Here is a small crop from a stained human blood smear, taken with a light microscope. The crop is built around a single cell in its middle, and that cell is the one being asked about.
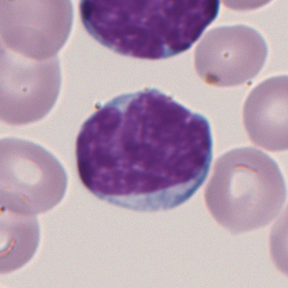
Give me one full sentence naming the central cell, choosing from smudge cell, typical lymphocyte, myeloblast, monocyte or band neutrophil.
Centrally within this crop lies a typical lymphocyte.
